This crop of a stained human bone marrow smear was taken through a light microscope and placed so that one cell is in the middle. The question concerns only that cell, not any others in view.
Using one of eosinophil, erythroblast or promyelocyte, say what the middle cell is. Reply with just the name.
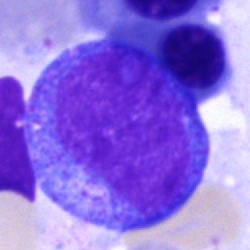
promyelocyte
